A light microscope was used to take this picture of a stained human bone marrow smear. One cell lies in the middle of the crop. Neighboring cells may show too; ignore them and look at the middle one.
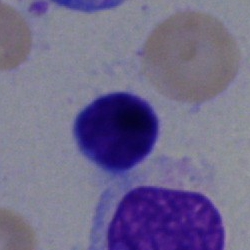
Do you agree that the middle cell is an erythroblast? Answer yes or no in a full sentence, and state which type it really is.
No, the cell sitting in the middle is a lymphocyte, and it is not an erythroblast.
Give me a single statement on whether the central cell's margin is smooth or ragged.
Nothing juts out from the margin, which is smooth throughout.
